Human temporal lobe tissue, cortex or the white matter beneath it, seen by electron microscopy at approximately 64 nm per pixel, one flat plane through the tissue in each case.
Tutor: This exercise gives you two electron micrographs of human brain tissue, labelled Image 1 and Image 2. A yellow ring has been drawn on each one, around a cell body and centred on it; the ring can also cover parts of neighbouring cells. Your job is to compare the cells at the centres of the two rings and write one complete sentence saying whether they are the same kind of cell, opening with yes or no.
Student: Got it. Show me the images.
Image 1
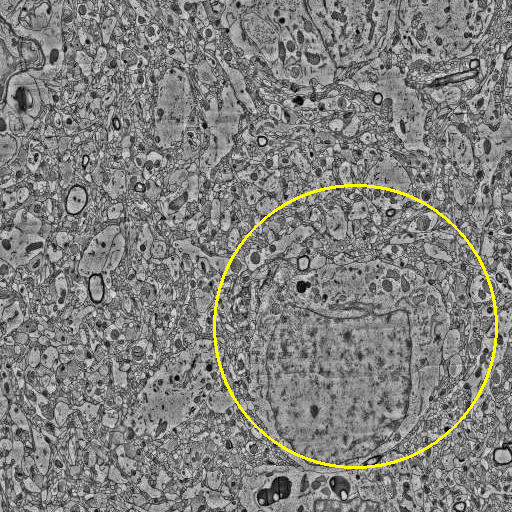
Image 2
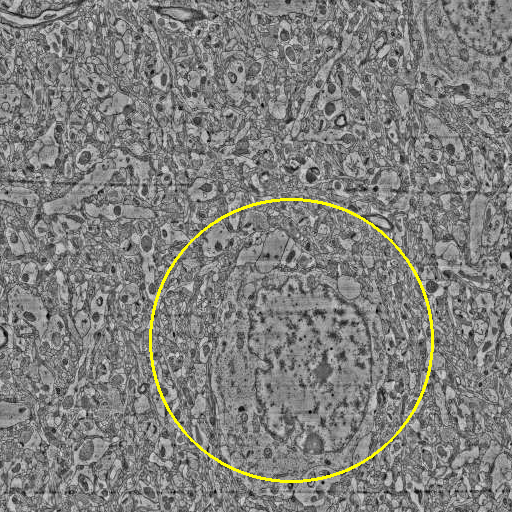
Yes, the two cells belong to the same kind.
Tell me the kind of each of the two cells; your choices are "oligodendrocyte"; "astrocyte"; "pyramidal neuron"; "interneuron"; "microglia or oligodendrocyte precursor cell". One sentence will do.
Both rings mark an interneuron, one in each picture.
